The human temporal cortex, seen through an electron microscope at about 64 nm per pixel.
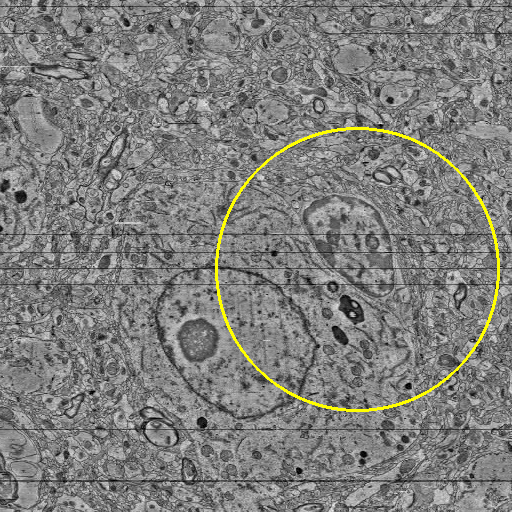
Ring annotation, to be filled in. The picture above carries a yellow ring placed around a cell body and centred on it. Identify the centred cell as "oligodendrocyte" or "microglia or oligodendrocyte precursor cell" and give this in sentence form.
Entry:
The cell in the middle of the ring is a microglial cell or oligodendrocyte precursor cell.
